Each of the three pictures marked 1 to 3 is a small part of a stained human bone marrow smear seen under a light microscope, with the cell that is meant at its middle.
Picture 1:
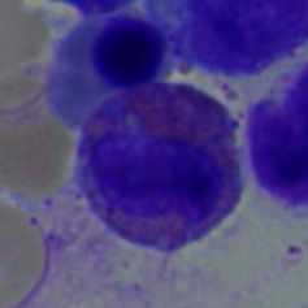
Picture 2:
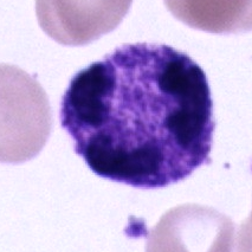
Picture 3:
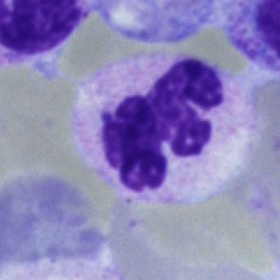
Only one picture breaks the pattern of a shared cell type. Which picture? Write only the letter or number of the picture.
1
